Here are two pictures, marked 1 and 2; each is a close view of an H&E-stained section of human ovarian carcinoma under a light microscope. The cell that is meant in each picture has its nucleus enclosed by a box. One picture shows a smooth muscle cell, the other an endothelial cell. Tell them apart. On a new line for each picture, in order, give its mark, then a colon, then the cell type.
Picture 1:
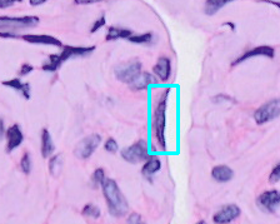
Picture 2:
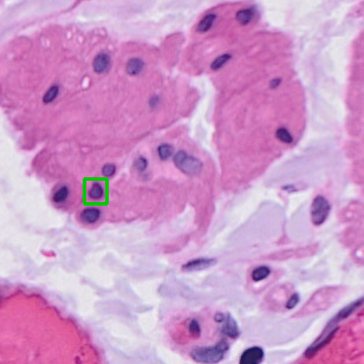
1: endothelial cell
2: smooth muscle cell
